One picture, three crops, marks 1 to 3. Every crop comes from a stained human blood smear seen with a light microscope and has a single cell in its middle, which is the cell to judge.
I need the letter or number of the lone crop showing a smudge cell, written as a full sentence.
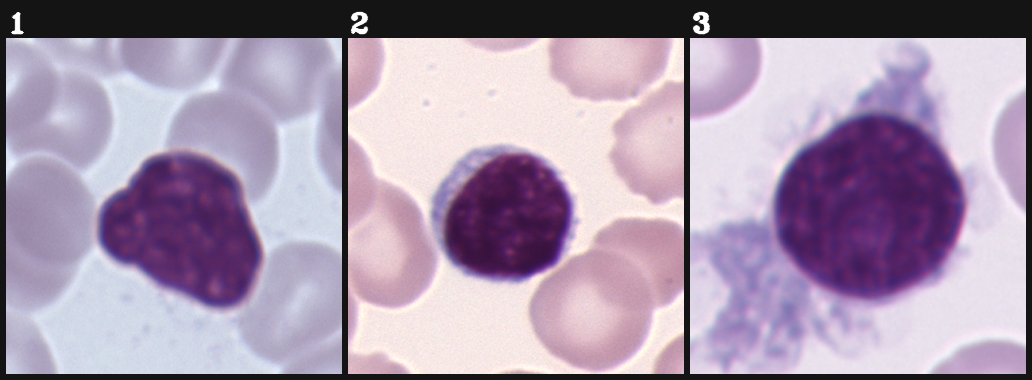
Crop 1 shows a smudge cell, and no other crop does.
